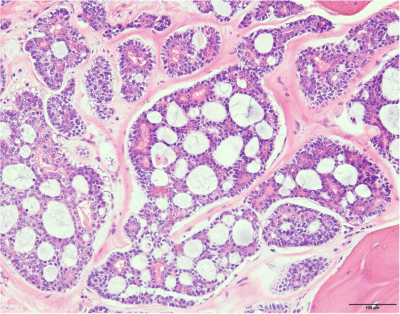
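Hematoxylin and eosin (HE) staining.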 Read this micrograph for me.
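This is a tumor built of nests of small epithelial cells, and many of the nests are riddled with small round cysts, giving a sieve-like, cribriform look. The tumor cells are small and crowded, with dark purple, fairly uniform nuclei and scant pale cytoplasm. Inside the largest nest in the middle, the cells line up around many round, punched-out spaces that look empty or hold pale, faintly bluish material. Other nests are smaller and more solid or elongated, with only a few such spaces. Between the nests run bands of pink fibrous stroma, and denser pink collagen appears at the edges of the field.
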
